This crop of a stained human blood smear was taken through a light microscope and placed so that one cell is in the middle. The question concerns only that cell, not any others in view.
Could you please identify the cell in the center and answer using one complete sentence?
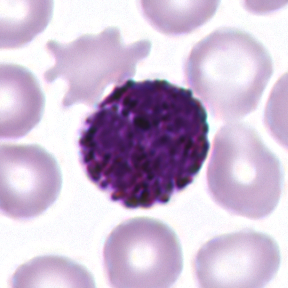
This crop has a basophil at its centre.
